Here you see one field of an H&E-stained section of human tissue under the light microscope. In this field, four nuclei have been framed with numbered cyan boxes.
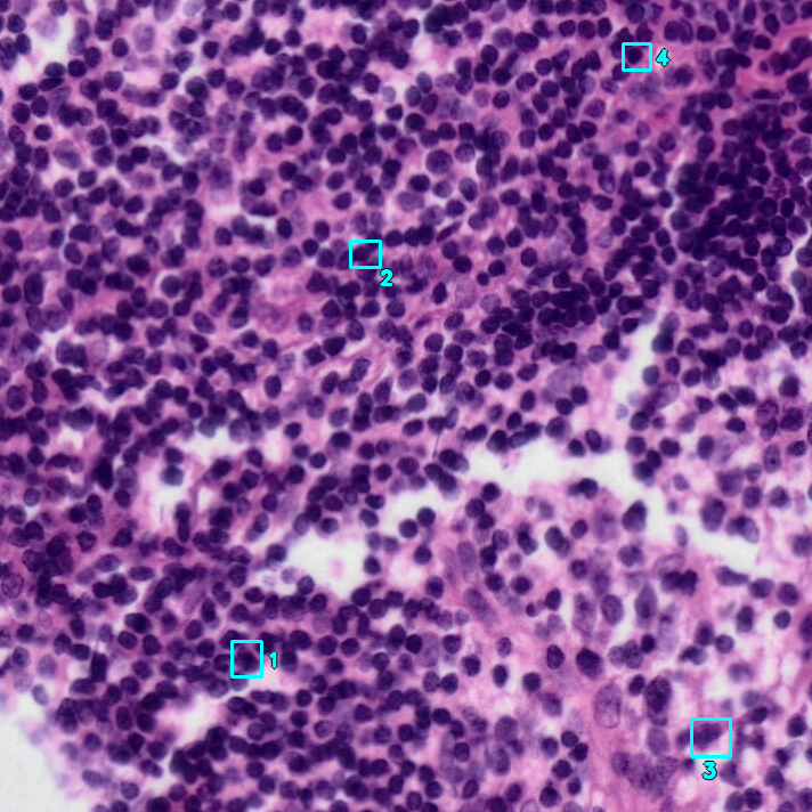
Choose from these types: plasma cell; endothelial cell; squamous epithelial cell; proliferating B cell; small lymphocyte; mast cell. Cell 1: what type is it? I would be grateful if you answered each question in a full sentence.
Cell 1 in the field is a small lymphocyte.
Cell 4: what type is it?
The nucleus with number 4 is that of a small lymphocyte.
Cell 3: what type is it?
Nucleus 3 in this section belongs to a proliferating B cell.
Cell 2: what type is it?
The nucleus marked 2 is the nucleus of a small lymphocyte.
